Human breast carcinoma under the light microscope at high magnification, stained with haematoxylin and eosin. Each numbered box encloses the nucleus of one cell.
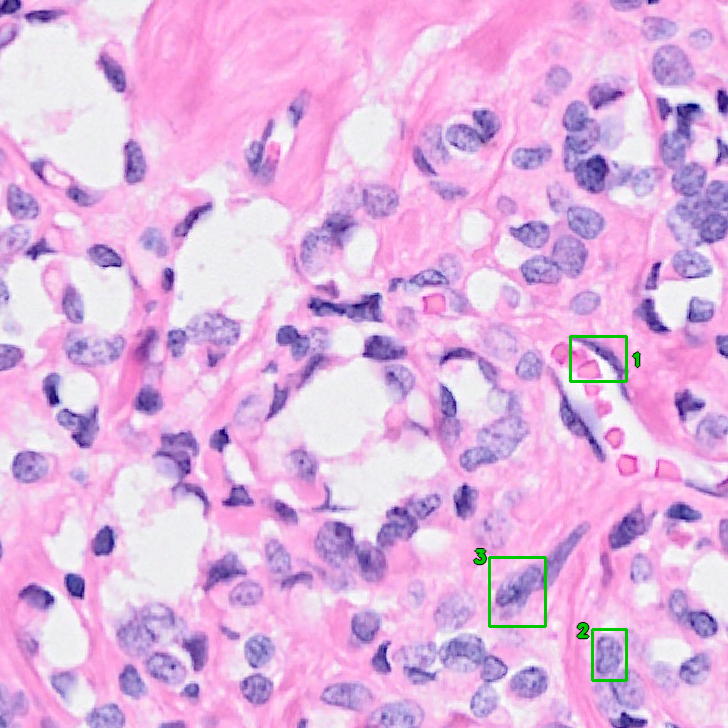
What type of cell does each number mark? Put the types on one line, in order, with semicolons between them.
endothelial cell; carcinoma cell; endothelial cell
